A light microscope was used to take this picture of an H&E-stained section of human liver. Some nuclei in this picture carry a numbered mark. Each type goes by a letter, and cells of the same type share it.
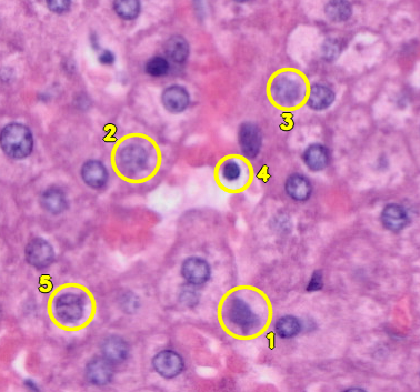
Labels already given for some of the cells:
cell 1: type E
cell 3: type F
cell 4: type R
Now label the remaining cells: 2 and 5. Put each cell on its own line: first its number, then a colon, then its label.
2: type F
5: type F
